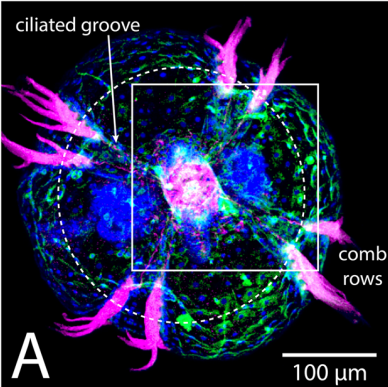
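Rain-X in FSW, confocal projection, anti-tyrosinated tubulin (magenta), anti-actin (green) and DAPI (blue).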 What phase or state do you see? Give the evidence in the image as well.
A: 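A small round whole animal viewed from one pole. Eight magenta comb rows radiate around its surface. A central sense organ lies at the pole. That points to this answer: cydippid.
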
